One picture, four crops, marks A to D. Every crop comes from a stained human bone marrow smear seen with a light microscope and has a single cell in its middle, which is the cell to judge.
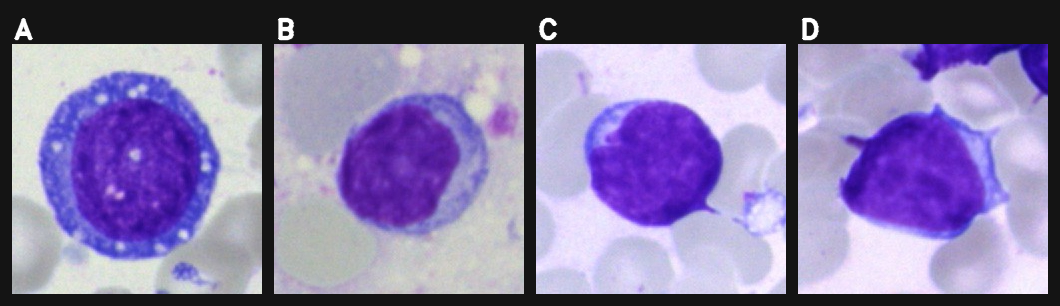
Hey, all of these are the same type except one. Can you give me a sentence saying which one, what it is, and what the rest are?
A different cell type, a lymphocyte, occupies crop B; the other crops show blasts.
